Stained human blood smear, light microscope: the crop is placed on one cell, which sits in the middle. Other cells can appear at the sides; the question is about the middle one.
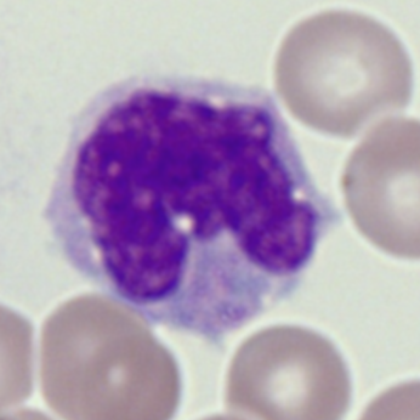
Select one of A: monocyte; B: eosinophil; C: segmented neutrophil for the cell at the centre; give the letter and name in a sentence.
Of the choices given, option A is right, as the central cell is a monocyte.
